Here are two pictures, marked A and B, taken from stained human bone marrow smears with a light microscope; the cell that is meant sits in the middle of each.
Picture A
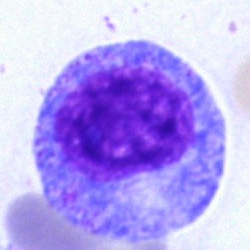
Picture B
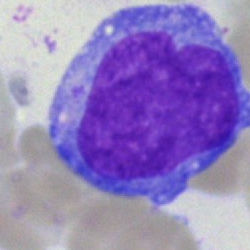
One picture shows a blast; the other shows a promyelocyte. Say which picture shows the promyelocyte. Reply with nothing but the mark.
A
